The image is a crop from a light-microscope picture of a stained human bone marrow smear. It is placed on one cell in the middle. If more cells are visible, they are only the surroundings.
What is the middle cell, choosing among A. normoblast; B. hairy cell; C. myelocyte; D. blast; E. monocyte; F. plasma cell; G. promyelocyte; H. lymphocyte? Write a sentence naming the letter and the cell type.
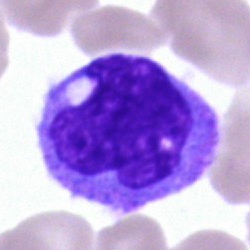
Option E is correct in naming the middle cell a monocyte.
